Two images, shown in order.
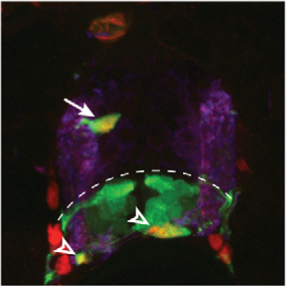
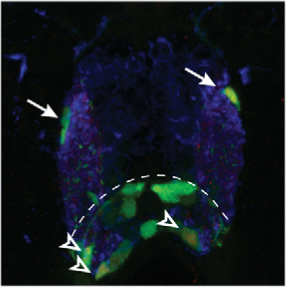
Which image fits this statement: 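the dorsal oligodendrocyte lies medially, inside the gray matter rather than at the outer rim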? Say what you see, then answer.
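First image: the arrowed dorsal cell sits medially, away from the lateral edge. The answer: the first image.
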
